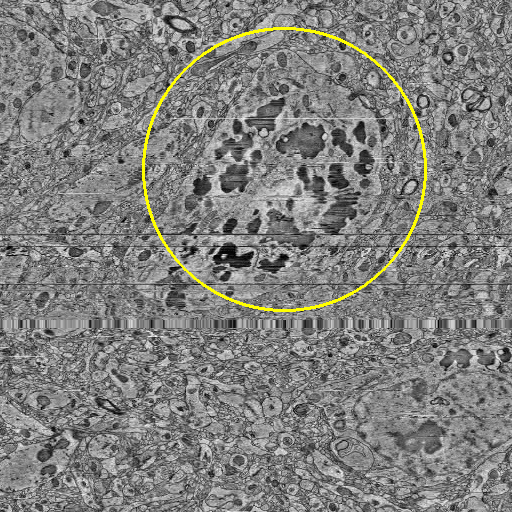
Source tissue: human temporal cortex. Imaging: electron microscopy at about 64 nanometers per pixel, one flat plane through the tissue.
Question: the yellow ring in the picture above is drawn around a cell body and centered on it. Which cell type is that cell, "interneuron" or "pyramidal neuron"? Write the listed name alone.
interneuron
